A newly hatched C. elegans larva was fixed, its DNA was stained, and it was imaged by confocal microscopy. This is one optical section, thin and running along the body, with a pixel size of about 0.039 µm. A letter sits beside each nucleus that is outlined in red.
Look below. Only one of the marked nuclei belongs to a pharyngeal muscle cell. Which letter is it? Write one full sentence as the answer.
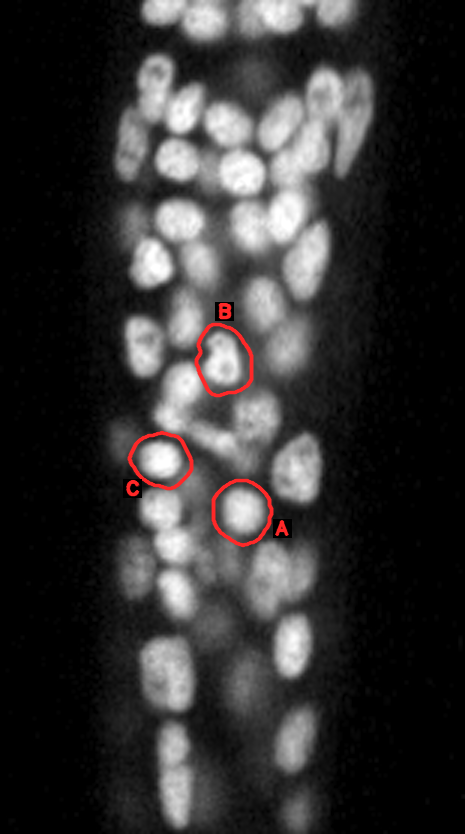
It is B that belongs to a pharyngeal muscle cell.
